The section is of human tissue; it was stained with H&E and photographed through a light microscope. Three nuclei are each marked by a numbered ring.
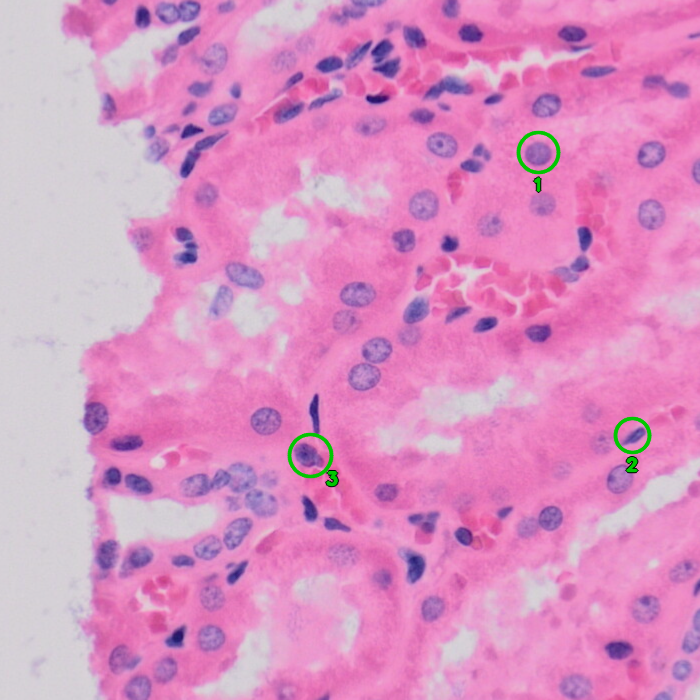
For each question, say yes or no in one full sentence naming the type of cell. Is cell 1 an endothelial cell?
No, cell 1 is not an endothelial cell; a proximal tubule cell is correct.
